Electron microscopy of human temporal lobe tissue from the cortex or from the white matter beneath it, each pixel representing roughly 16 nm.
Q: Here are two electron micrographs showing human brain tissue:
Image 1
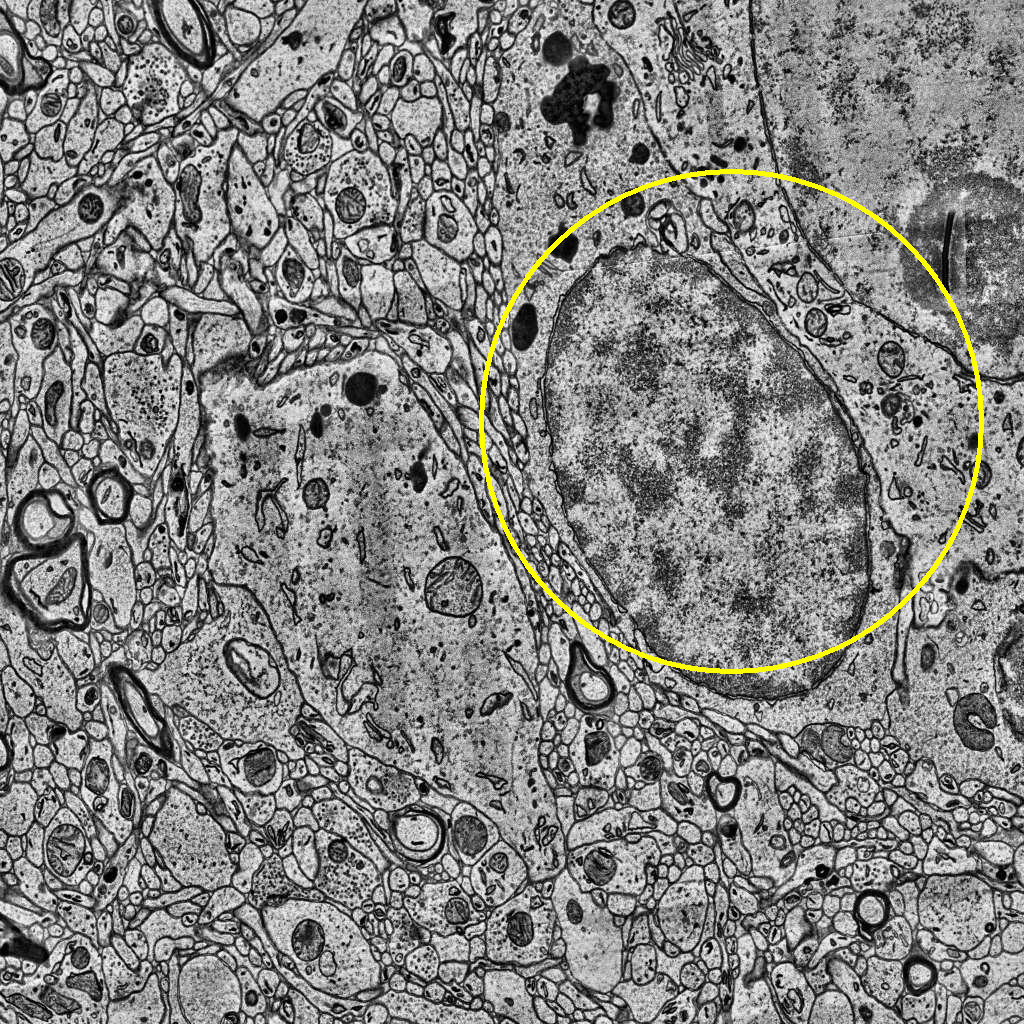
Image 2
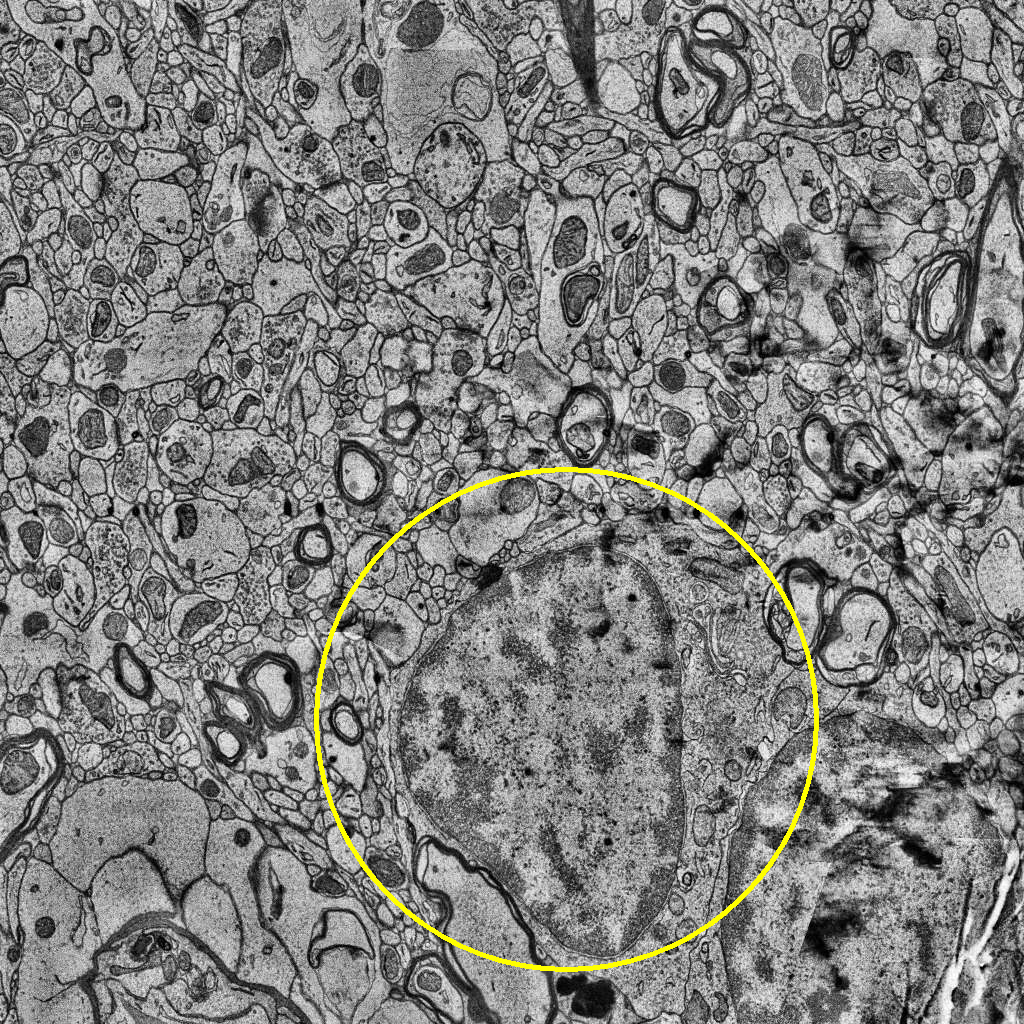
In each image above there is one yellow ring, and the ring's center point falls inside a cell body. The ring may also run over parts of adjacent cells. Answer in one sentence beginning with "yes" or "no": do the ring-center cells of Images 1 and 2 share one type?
Yes, in Images 1 and 2, the ring-center cells are both of one type.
